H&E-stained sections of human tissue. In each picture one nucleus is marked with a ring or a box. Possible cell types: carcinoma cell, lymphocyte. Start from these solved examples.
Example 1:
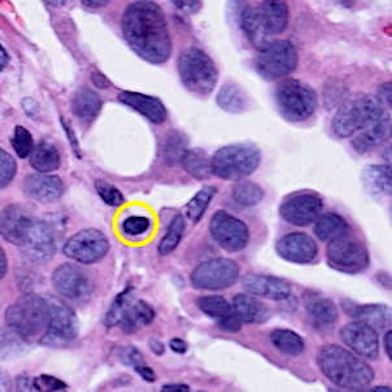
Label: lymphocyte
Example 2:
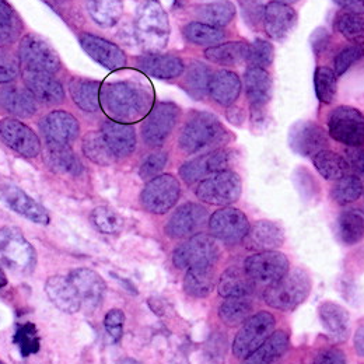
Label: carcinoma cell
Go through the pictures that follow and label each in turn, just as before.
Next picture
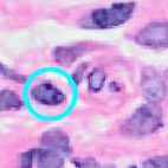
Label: lymphocyte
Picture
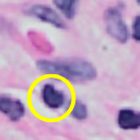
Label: lymphocyte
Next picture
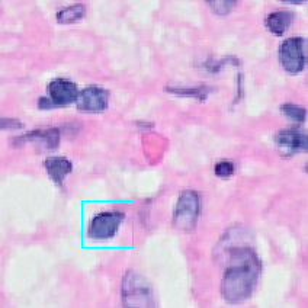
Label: lymphocyte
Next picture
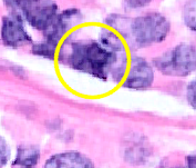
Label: carcinoma cell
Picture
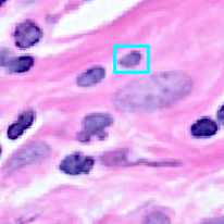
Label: lymphocyte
